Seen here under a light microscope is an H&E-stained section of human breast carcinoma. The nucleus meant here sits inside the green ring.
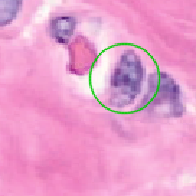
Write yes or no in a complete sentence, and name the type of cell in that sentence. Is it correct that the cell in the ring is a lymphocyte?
No, the cell in the ring is recorded as an endothelial cell instead of a lymphocyte.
